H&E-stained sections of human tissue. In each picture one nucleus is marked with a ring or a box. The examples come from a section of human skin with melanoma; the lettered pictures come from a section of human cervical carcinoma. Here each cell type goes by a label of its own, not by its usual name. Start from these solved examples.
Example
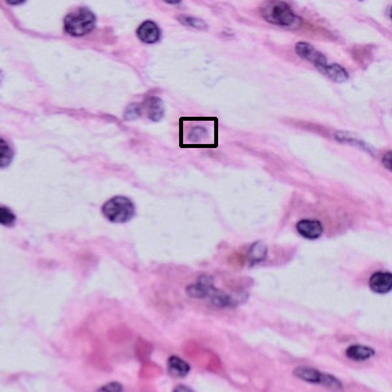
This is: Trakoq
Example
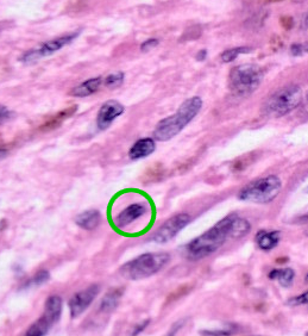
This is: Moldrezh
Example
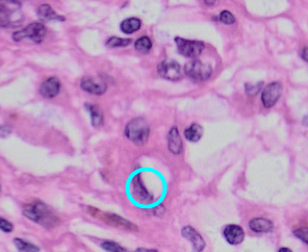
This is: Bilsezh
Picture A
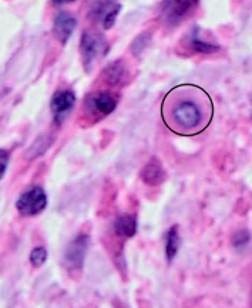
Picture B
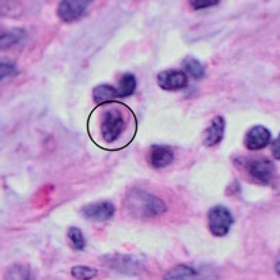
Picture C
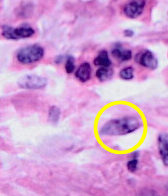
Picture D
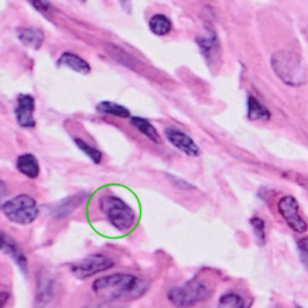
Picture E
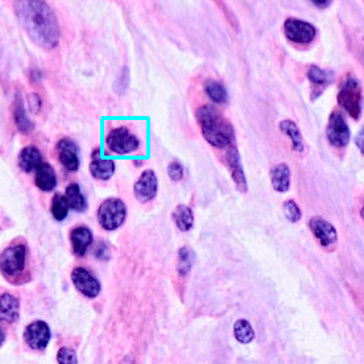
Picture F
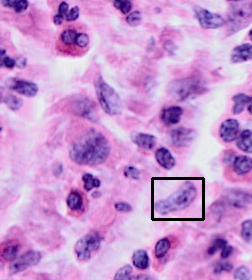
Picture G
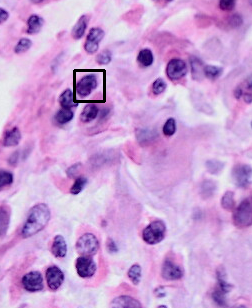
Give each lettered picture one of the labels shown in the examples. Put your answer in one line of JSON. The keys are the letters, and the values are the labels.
{"A": "Bilsezh", "B": "Moldrezh", "C": "Trakoq", "D": "Trakoq", "E": "Moldrezh", "F": "Trakoq", "G": "Moldrezh"}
